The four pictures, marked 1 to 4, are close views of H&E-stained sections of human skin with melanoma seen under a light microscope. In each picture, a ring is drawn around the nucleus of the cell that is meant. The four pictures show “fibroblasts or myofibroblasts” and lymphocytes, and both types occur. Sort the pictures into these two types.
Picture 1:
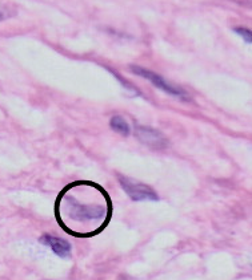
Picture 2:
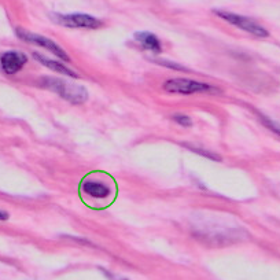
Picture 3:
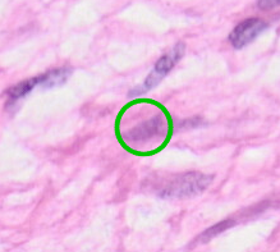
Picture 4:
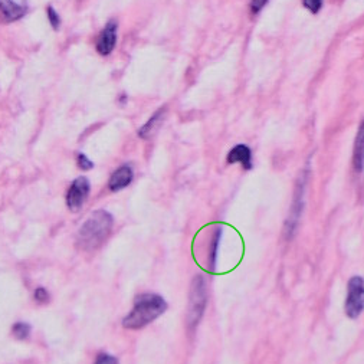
1: fibroblast or myofibroblast
2: lymphocyte
3: fibroblast or myofibroblast
4: fibroblast or myofibroblast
